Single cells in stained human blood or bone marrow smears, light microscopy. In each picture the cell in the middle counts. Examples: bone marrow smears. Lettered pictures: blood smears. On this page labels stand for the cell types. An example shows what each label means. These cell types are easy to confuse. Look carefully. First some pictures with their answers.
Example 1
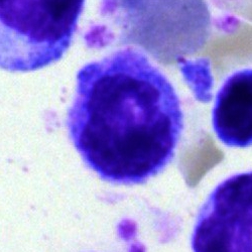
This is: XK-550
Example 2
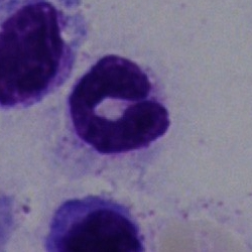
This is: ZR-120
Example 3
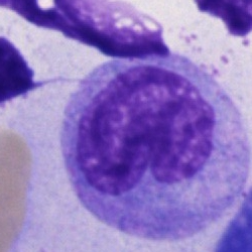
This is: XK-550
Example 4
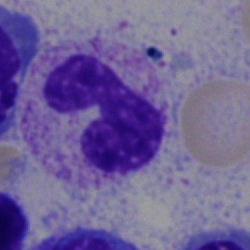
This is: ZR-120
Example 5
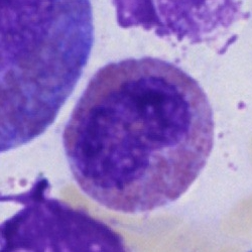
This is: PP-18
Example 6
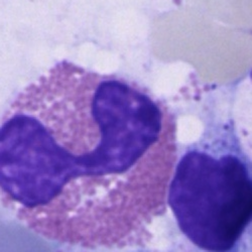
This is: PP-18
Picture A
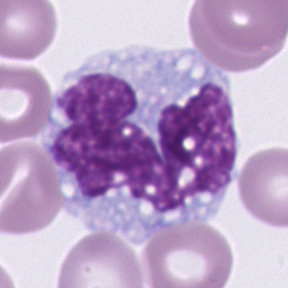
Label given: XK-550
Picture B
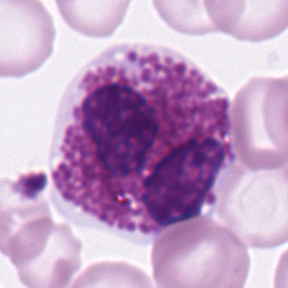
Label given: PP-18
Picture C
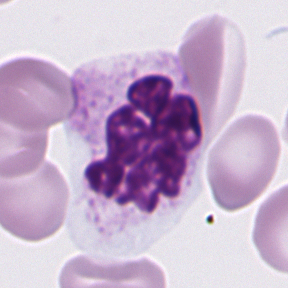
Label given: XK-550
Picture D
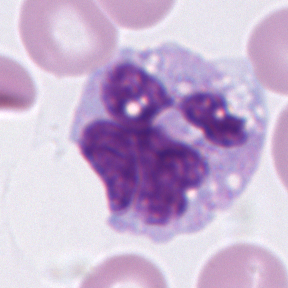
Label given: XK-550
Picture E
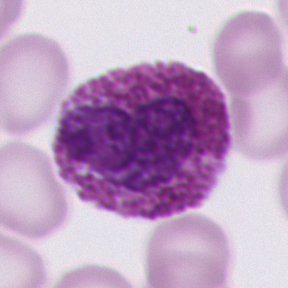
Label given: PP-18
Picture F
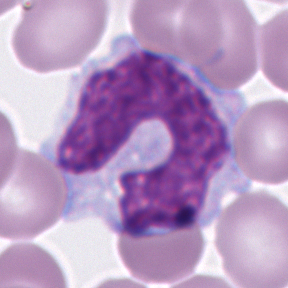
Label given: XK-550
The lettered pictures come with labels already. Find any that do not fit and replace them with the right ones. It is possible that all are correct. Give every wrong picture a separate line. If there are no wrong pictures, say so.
C is labelled XK-550; correct label: ZR-120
